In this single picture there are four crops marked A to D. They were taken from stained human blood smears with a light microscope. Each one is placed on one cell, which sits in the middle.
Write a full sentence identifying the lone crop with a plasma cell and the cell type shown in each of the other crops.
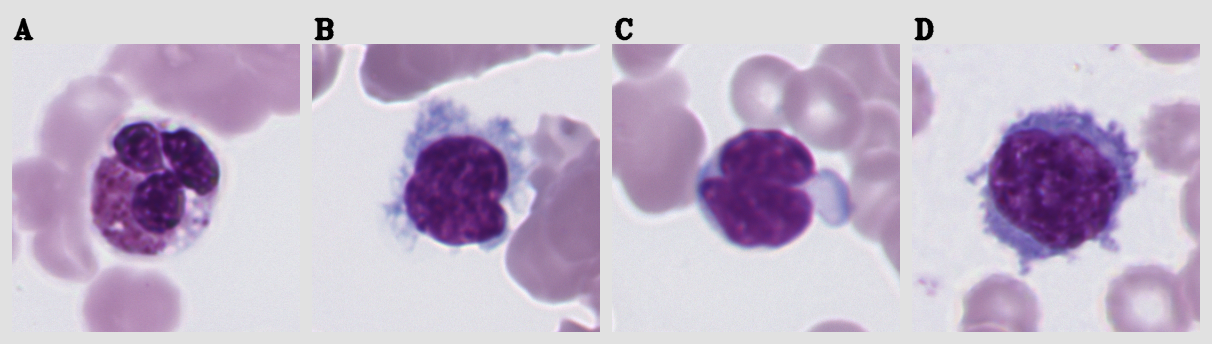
To sum up, crop D shows a plasma cell, while crop A is an eosinophil, crop B is a hairy cell and crop C is a large granular lymphocyte.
